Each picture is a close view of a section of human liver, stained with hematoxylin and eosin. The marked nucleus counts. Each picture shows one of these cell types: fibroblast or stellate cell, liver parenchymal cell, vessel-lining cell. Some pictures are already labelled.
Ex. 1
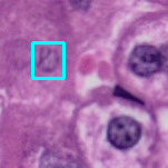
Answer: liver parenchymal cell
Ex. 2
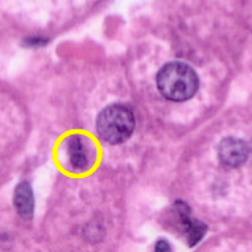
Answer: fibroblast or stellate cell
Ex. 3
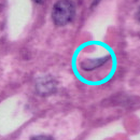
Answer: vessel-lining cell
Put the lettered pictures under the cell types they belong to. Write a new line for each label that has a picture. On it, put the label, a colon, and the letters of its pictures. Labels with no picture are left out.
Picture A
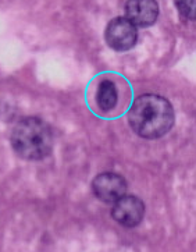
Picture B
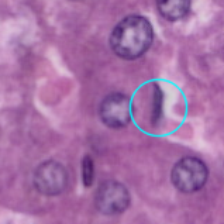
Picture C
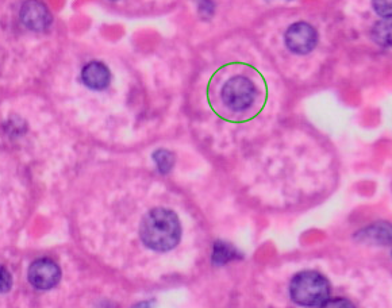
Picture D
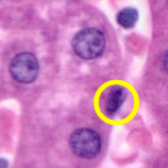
fibroblast or stellate cell: A, D
liver parenchymal cell: C
vessel-lining cell: B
